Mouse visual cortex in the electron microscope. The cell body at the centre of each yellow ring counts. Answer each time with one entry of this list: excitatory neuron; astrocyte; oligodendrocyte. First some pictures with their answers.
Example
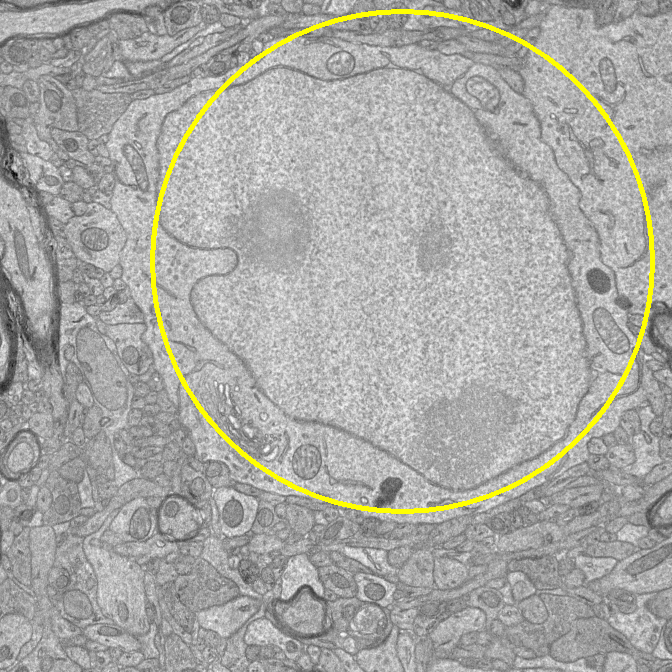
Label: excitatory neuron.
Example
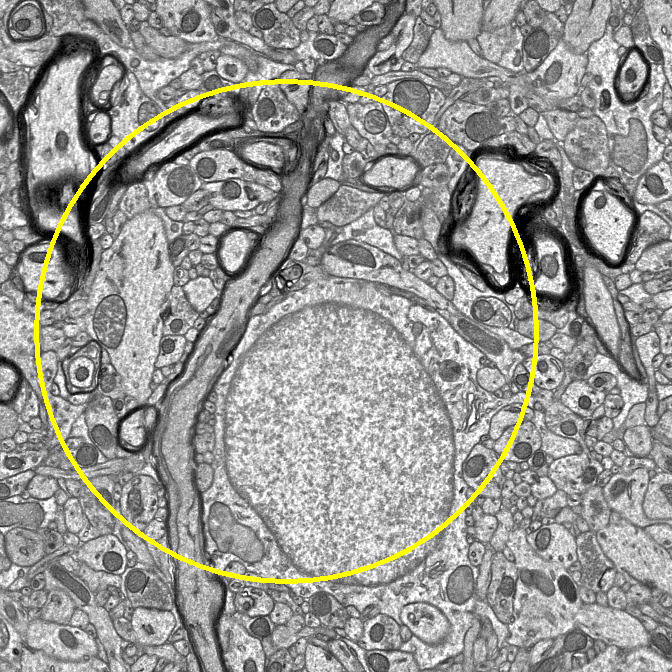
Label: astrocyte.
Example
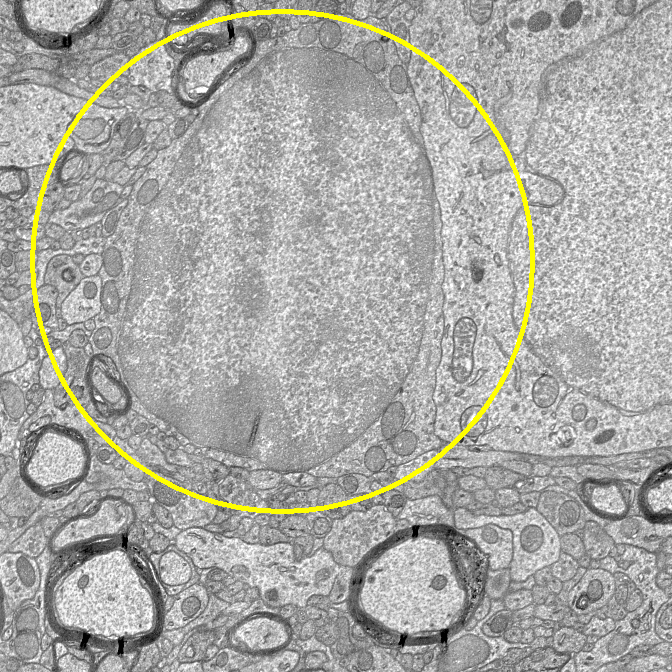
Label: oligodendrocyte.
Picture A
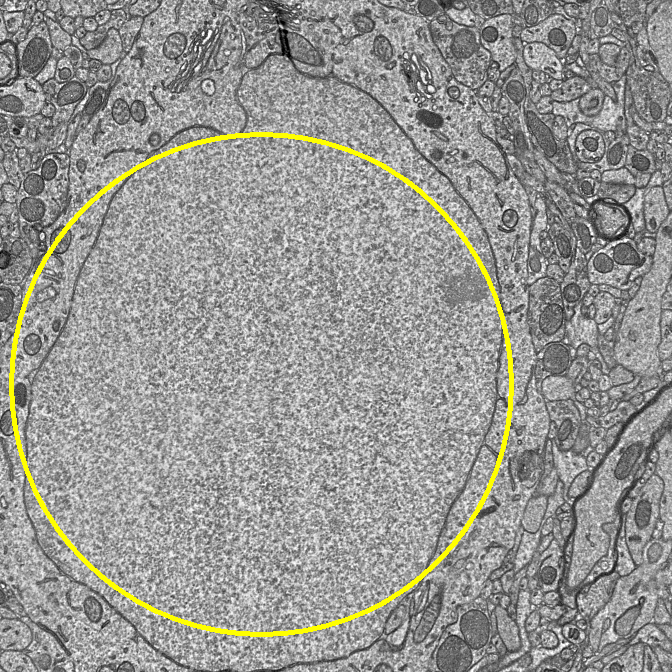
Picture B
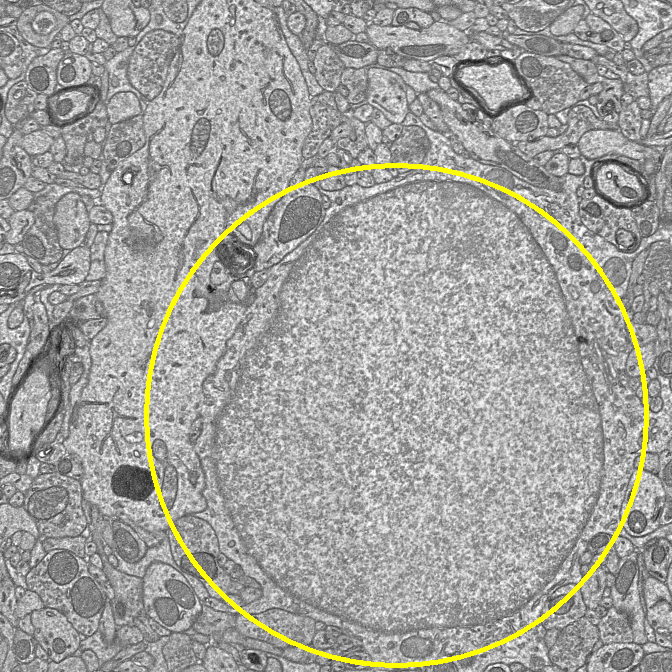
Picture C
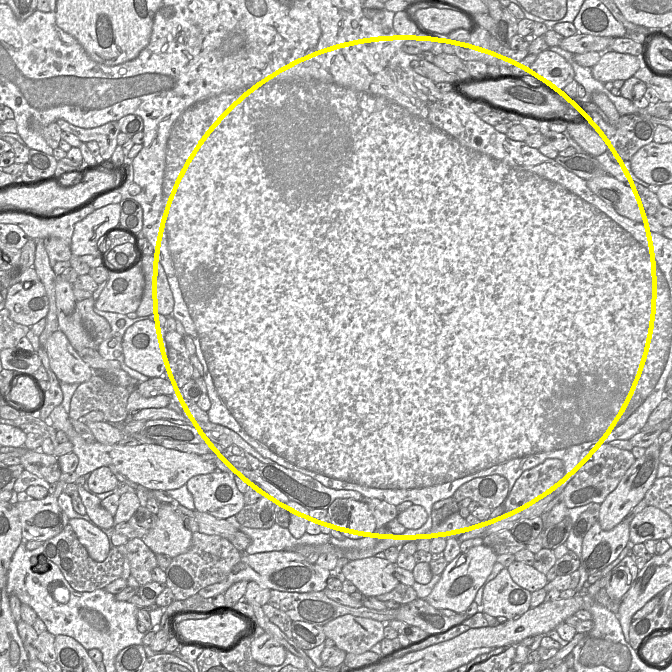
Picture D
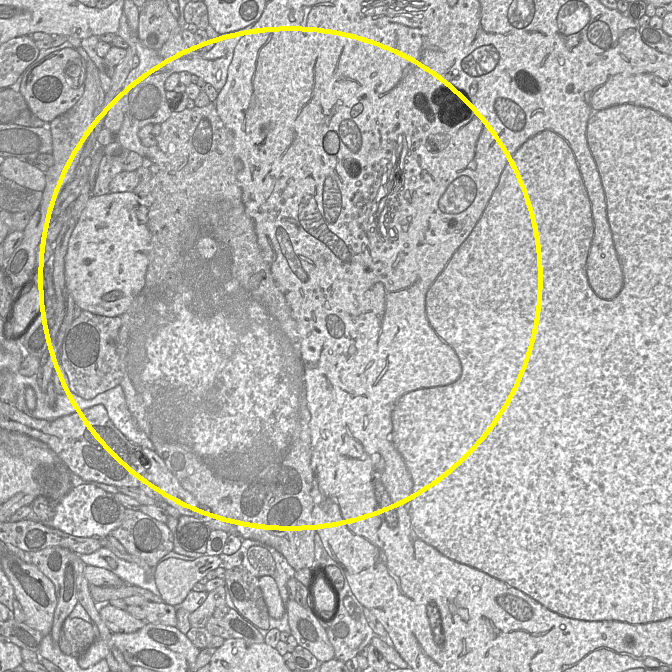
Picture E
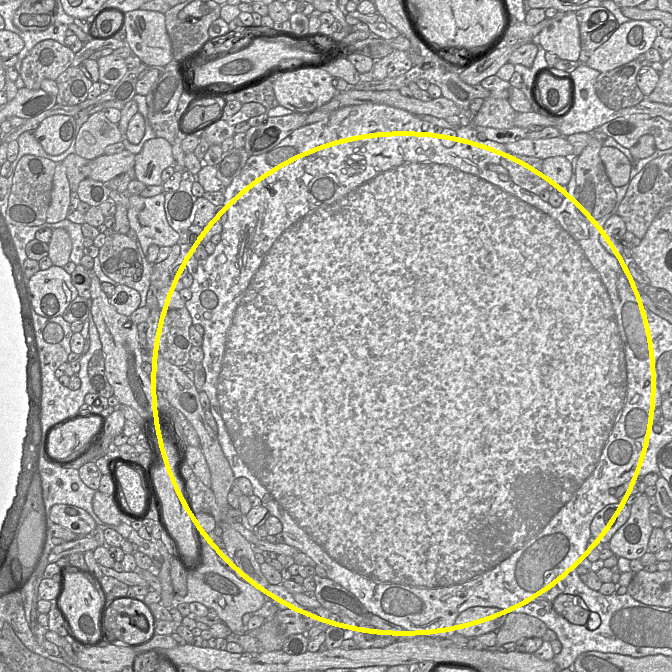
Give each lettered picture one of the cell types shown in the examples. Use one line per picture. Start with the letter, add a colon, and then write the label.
A: excitatory neuron.
B: astrocyte.
C: astrocyte.
D: oligodendrocyte.
E: astrocyte.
